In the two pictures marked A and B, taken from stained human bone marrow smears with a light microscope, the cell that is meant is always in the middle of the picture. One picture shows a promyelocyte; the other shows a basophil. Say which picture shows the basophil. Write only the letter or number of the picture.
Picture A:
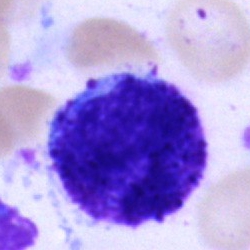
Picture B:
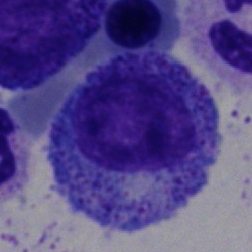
A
